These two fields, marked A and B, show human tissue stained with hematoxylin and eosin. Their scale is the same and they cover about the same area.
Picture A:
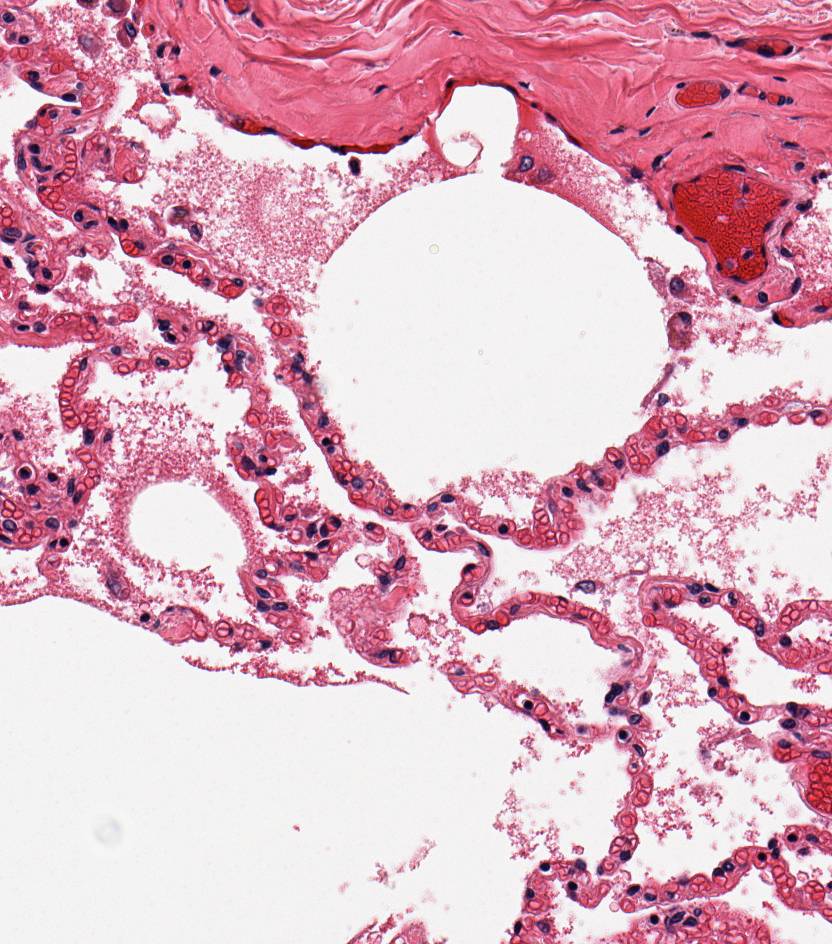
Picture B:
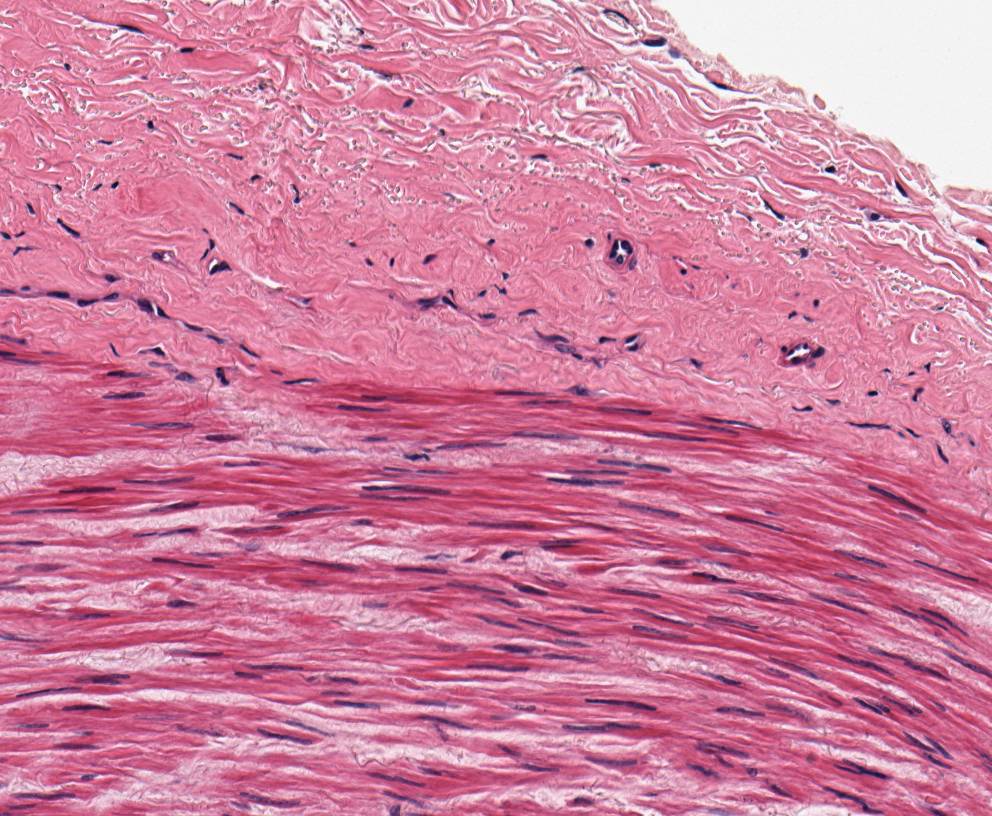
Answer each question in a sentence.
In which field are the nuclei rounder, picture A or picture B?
The nuclei are rounder in picture A.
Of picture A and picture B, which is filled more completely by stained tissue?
Unstained space takes up less of picture B than of picture A.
